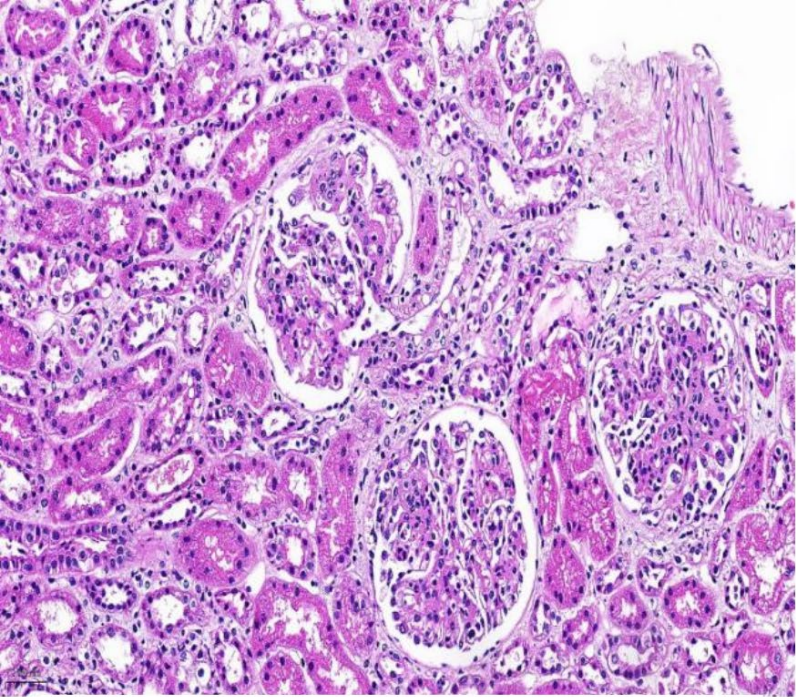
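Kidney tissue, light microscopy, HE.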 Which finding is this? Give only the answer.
Mesangial cell proliferation.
